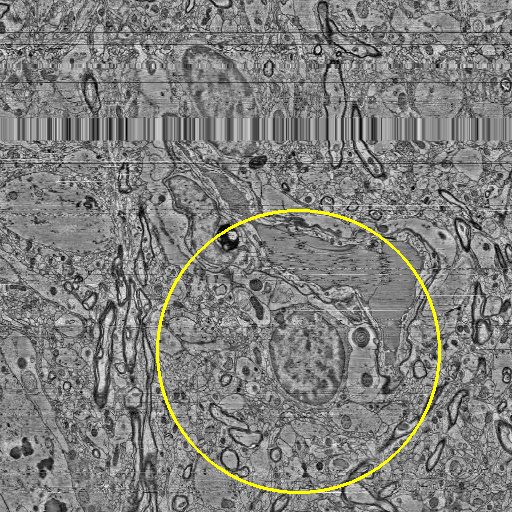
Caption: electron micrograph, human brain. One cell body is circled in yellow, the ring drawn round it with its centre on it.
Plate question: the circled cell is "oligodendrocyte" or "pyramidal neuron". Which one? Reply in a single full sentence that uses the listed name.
The yellow ring on the plate is centred on an oligodendrocyte, going by the listed names.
